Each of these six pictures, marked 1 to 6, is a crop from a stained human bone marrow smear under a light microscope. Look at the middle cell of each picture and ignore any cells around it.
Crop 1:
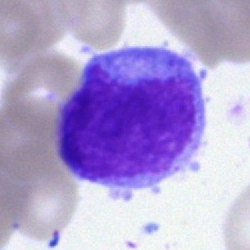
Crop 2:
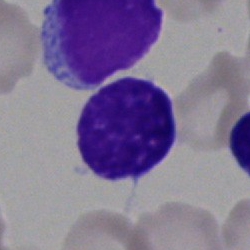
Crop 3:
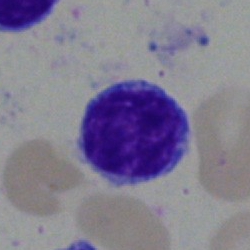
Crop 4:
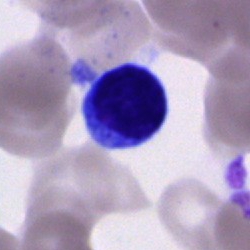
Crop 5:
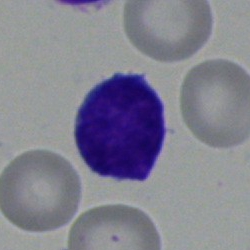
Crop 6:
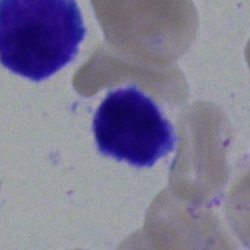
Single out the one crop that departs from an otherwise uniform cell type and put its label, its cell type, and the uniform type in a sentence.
Only one crop differs, namely crop 1, which is a blast; the others show lymphocytes.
